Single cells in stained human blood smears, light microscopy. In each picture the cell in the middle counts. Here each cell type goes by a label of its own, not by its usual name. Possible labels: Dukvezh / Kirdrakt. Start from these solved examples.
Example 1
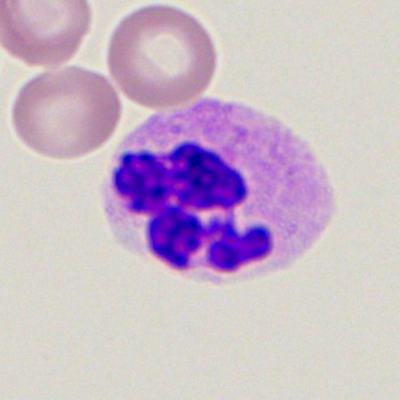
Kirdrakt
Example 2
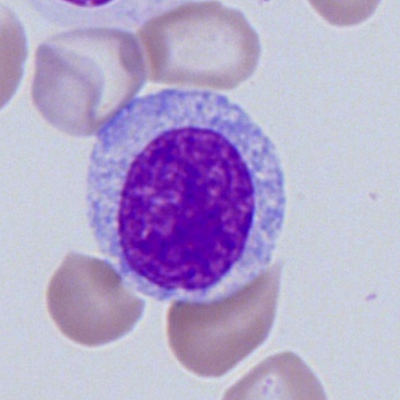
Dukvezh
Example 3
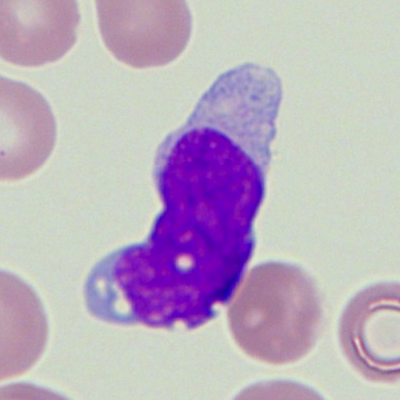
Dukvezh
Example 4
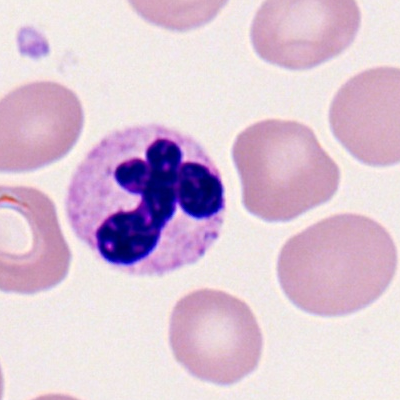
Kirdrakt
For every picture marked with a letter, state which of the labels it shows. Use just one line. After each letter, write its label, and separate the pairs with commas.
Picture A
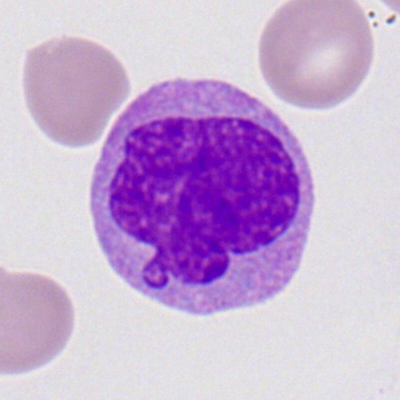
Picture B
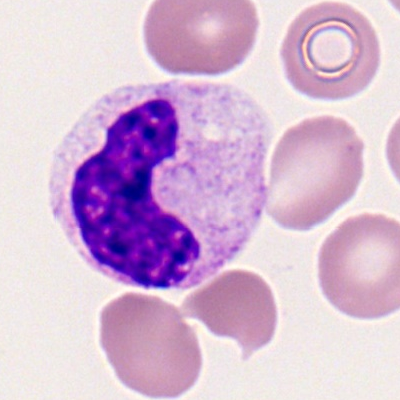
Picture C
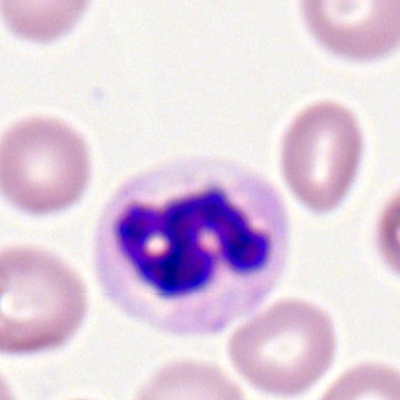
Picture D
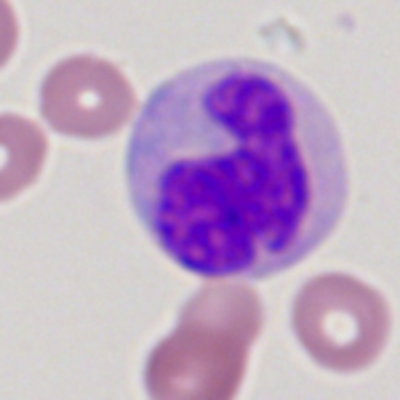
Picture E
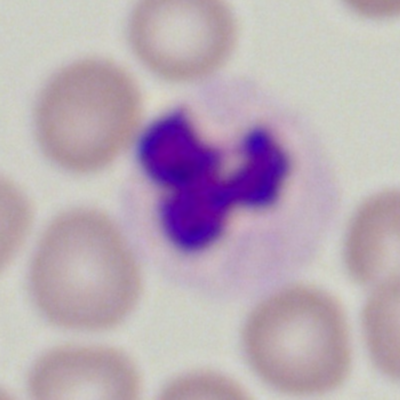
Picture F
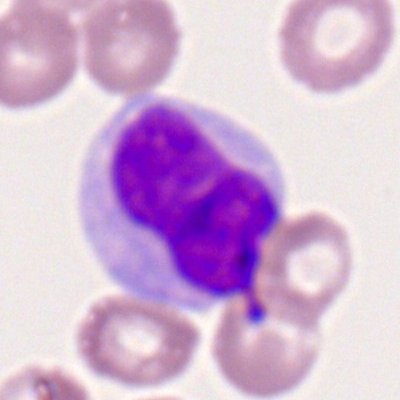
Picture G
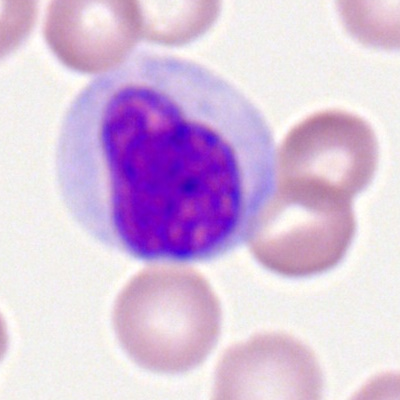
A Dukvezh, B Kirdrakt, C Kirdrakt, D Dukvezh, E Kirdrakt, F Dukvezh, G Dukvezh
